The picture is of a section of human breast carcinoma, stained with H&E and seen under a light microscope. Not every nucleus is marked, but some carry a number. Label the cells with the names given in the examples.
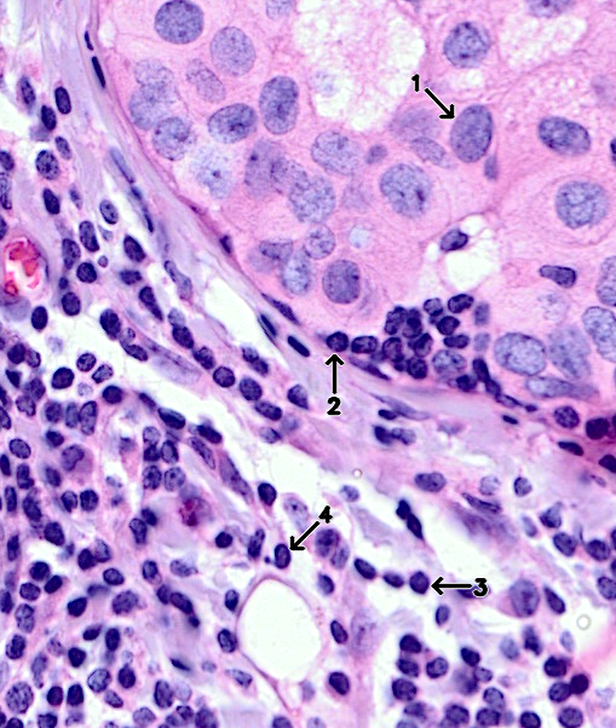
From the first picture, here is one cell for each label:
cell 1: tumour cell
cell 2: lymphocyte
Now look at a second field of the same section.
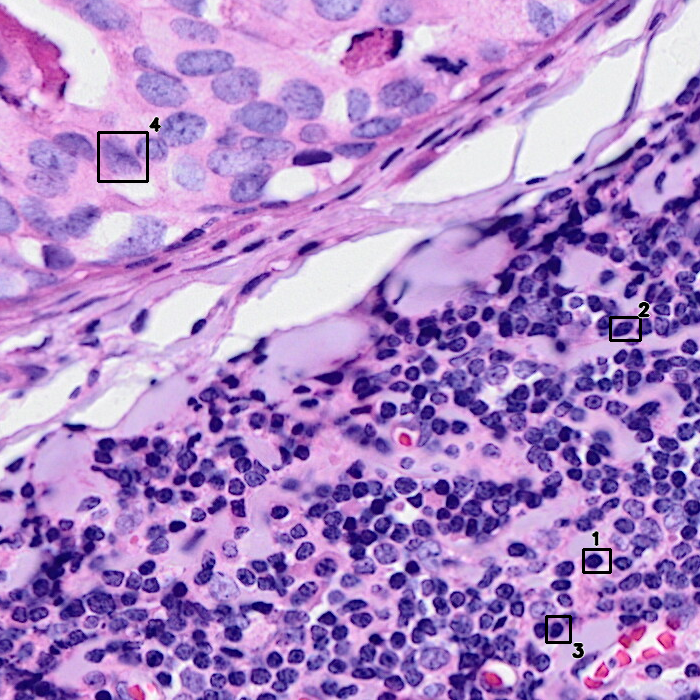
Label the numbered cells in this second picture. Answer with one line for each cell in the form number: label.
1: lymphocyte
2: lymphocyte
3: lymphocyte
4: tumour cell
